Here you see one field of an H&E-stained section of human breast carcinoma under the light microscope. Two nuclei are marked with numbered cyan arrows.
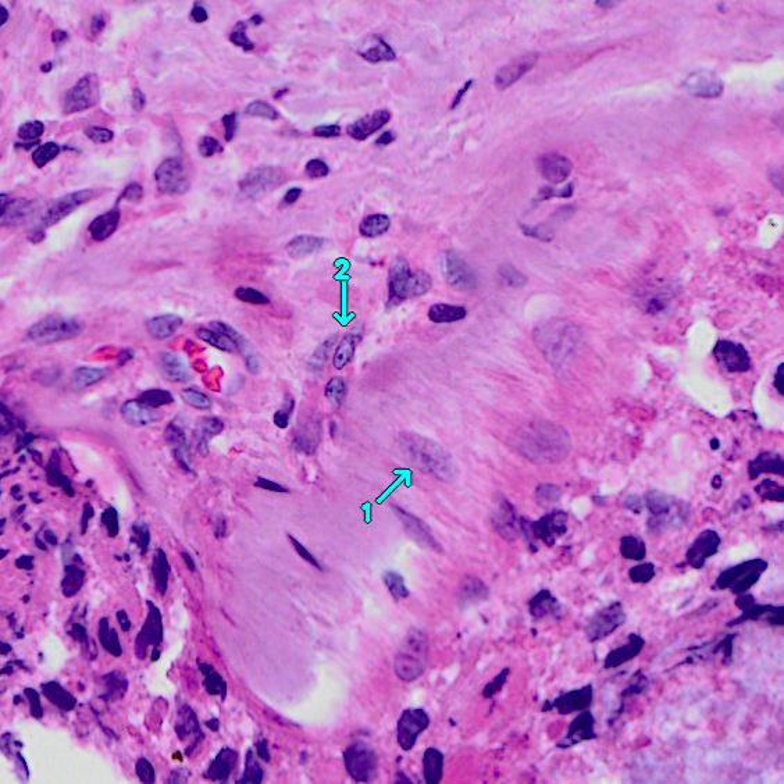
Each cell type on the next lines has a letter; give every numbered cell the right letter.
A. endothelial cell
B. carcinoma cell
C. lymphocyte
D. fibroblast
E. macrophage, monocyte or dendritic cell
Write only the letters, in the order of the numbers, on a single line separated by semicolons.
D; A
